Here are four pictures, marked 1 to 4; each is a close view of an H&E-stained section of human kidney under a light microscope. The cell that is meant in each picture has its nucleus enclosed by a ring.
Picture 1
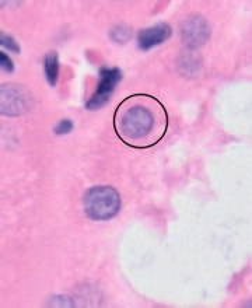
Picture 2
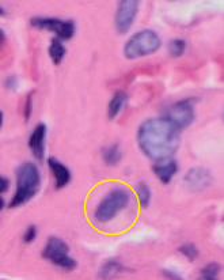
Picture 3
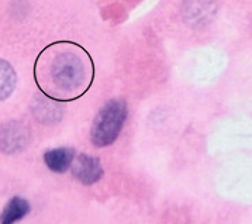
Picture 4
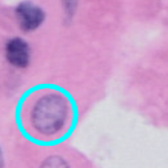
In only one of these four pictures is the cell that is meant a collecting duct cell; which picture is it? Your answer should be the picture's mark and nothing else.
2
